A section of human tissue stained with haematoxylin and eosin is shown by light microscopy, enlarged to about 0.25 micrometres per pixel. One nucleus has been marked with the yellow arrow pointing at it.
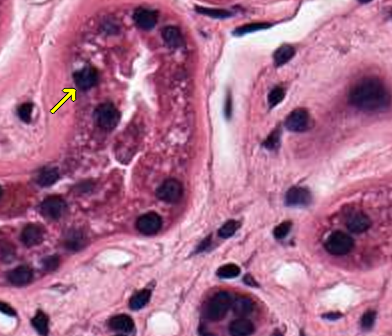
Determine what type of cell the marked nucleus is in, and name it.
proximal tubule cell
